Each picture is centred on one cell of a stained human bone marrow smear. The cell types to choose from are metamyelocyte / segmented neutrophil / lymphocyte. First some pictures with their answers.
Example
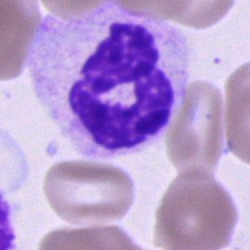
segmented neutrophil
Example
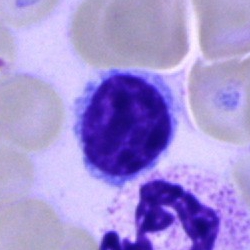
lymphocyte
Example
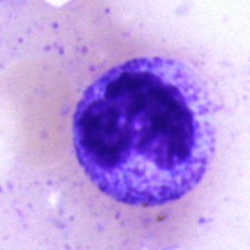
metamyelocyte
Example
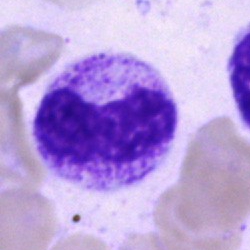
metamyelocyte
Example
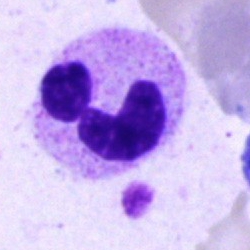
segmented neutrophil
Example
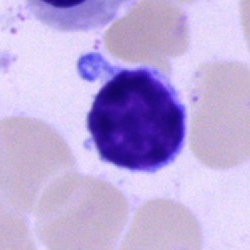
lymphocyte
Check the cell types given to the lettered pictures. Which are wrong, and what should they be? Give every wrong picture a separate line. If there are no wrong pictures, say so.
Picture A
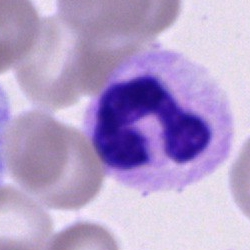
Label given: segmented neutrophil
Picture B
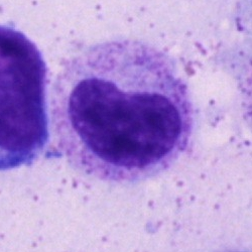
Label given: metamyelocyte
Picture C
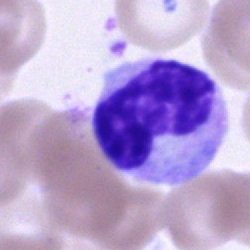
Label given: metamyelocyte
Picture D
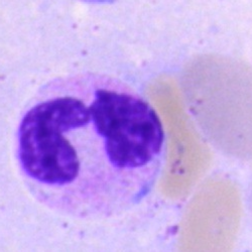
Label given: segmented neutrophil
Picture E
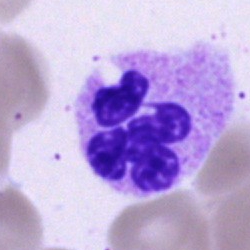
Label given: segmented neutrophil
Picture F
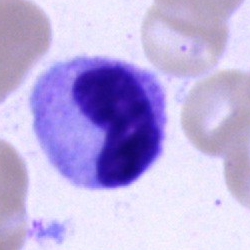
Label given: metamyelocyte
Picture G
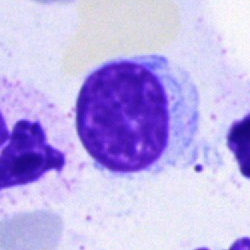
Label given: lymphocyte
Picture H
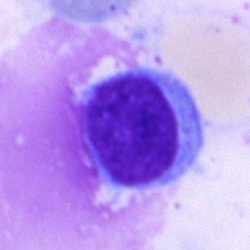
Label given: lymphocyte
None of the labels needs changing.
